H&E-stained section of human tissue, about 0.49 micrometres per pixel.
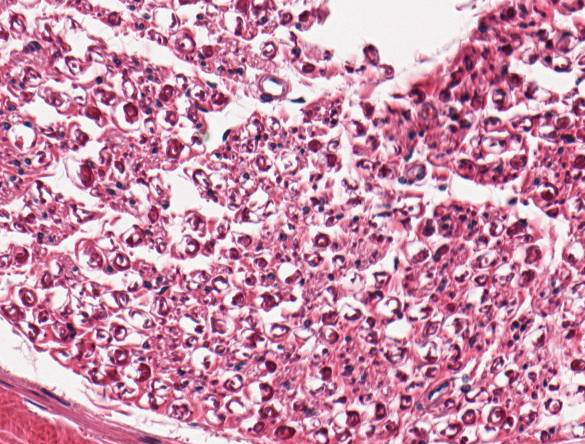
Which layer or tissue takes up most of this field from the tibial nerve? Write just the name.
nerve fascicle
